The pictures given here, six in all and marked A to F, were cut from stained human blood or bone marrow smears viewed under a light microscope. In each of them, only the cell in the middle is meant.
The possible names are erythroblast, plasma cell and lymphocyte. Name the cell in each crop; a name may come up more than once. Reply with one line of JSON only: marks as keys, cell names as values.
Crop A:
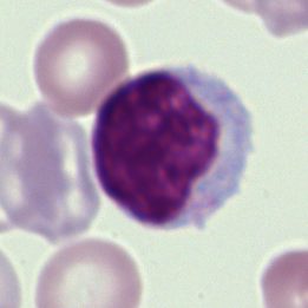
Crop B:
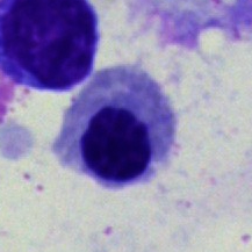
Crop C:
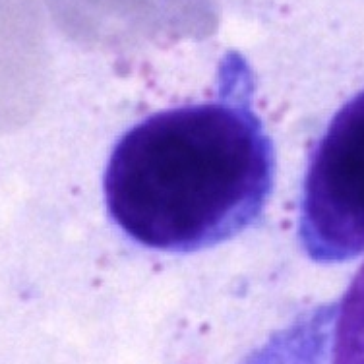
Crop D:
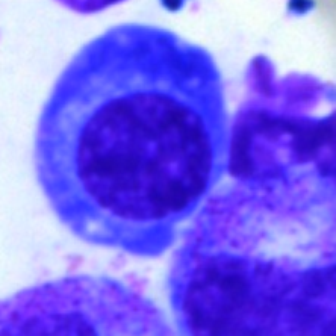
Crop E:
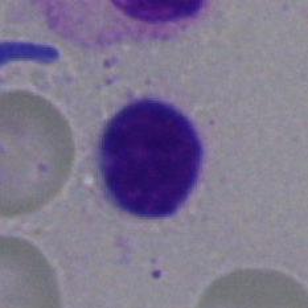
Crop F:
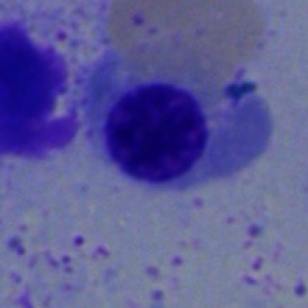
{"A": "lymphocyte", "B": "erythroblast", "C": "lymphocyte", "D": "plasma cell", "E": "lymphocyte", "F": "erythroblast"}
